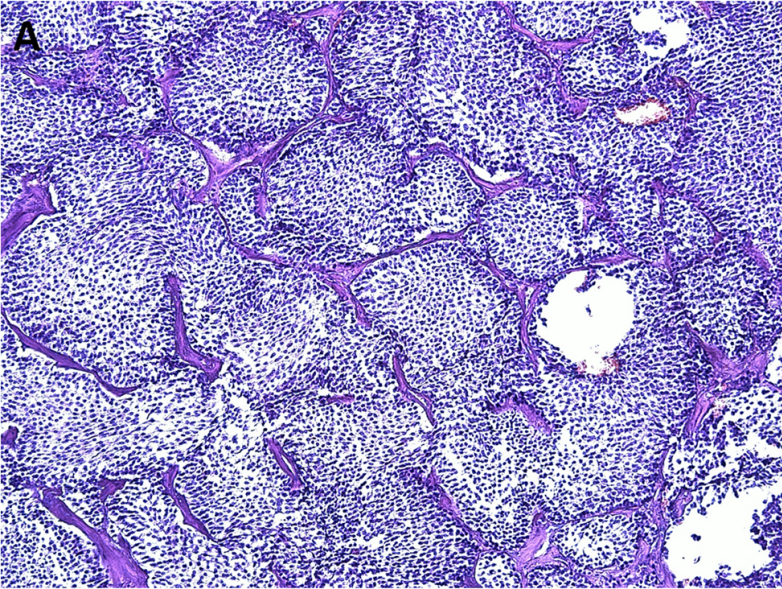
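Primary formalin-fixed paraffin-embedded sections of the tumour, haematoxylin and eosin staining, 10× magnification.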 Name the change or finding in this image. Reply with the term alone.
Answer: Monomorphic, rounded cells with round nuclei.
